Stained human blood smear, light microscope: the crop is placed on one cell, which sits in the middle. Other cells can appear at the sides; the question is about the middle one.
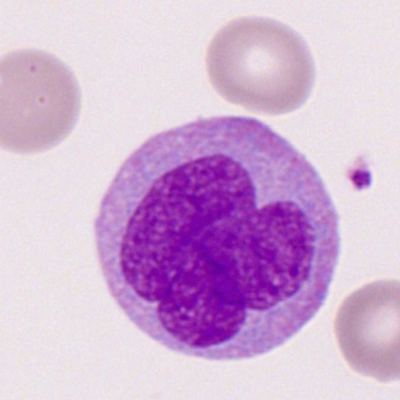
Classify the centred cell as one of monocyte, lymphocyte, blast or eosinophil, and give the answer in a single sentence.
In the centre of this crop there is a blast.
